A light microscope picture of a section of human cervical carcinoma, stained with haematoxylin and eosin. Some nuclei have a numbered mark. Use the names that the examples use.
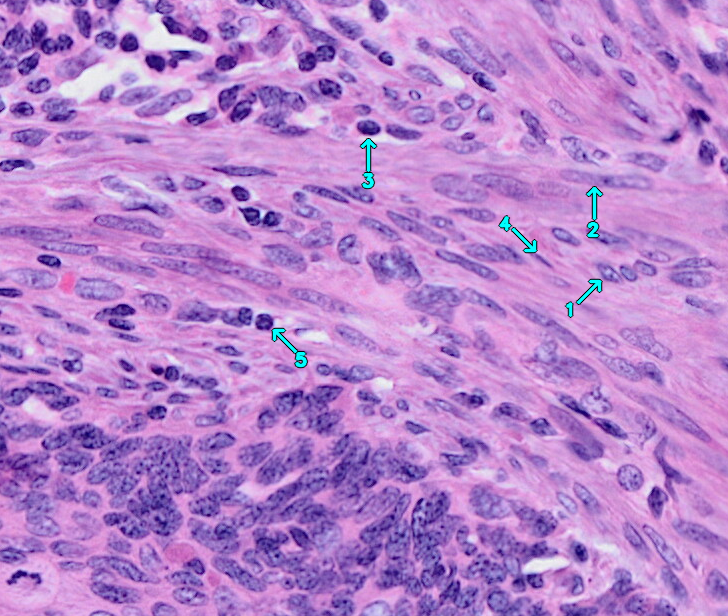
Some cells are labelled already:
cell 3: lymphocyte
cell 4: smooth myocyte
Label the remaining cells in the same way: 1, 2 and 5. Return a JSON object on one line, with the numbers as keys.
{"1": "smooth myocyte", "2": "smooth myocyte", "5": "lymphocyte"}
